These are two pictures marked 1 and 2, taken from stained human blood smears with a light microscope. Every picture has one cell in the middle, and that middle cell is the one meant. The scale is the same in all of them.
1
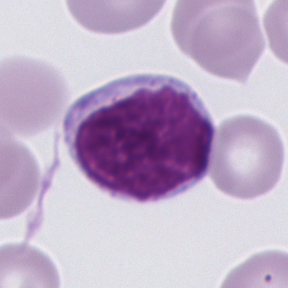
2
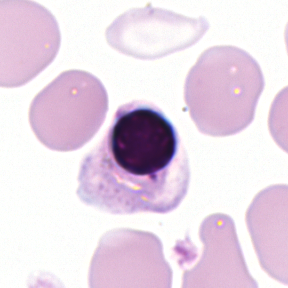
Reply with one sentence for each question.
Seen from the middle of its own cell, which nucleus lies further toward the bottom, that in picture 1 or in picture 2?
The nucleus in picture 1 lies further toward the bottom of its cell.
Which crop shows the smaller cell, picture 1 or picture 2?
Smaller is the cell in picture 2, and the other is about 1.5 times as large in area.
